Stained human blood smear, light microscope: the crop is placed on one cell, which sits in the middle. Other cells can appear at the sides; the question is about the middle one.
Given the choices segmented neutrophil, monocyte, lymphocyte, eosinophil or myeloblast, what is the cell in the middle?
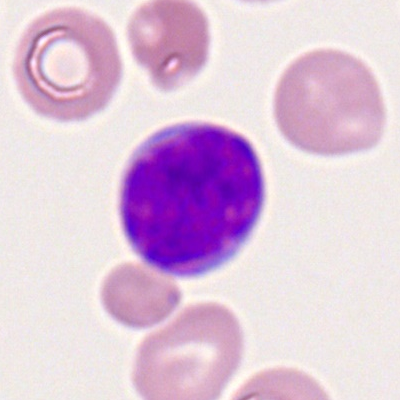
lymphocyte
